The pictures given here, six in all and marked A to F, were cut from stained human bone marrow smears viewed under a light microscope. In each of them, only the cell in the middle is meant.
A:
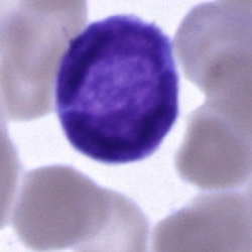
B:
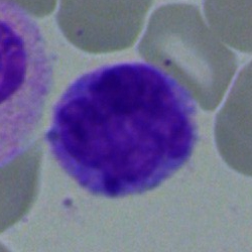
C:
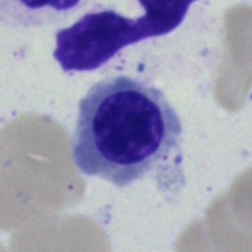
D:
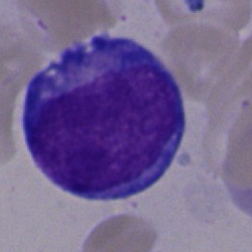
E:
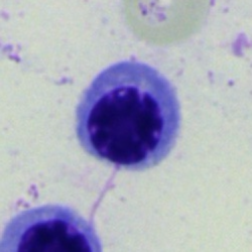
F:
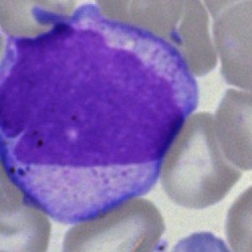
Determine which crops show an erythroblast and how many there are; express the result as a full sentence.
The crops with erythroblasts are C and E, two in total.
